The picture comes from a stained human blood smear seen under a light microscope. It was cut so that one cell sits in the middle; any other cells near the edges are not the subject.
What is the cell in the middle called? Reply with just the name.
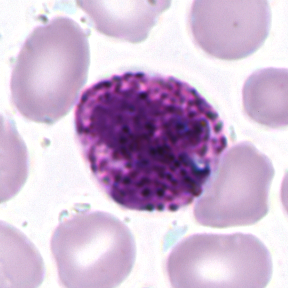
basophil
